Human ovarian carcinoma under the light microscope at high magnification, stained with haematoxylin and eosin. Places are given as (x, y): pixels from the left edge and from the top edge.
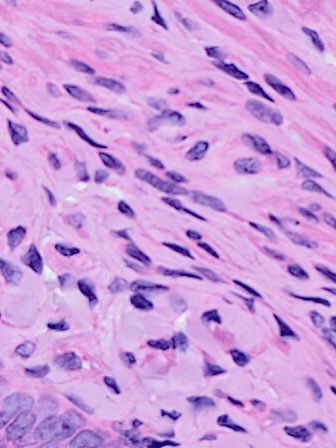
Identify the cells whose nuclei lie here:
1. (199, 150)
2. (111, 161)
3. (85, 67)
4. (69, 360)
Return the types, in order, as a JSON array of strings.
["smooth muscle cell", "smooth muscle cell", "smooth muscle cell", "endothelial cell"]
